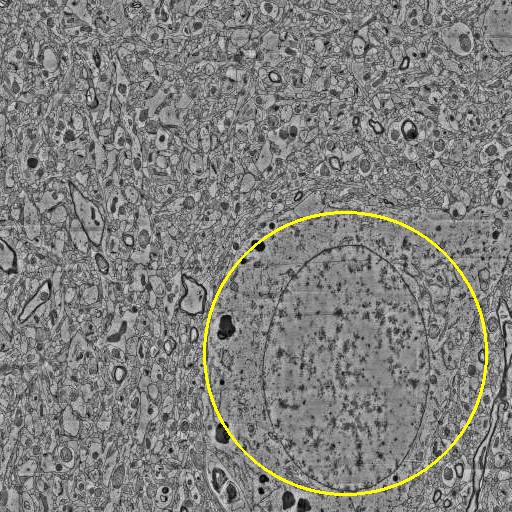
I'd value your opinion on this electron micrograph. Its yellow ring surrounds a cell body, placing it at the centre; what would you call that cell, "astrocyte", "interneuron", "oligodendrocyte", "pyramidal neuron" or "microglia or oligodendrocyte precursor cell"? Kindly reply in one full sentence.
It is a pyramidal neuron that sits centred within the yellow ring in this micrograph.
